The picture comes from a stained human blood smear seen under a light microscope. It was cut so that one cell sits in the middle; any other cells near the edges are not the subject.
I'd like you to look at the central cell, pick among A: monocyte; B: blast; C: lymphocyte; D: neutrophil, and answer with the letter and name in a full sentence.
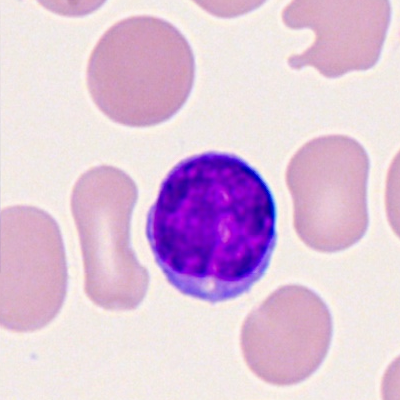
Option C is the correct selection, for the cell at the centre is a lymphocyte.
